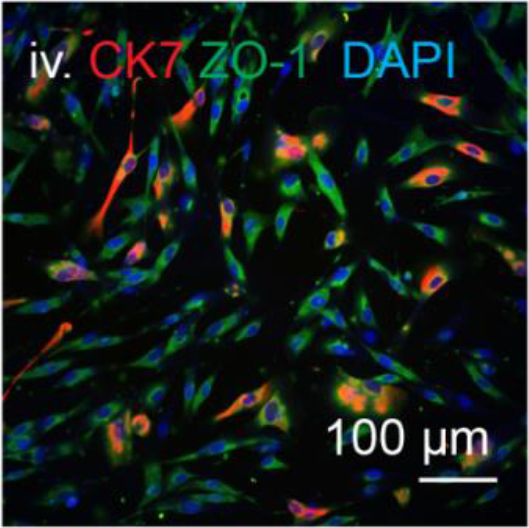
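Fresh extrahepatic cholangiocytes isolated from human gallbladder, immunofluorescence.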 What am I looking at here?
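Many cells are elongated or spindle-shaped with green cytoplasm, while a subset are broader and polygonal with strong red cytoplasm surrounding the nucleus. Some red cells extend long thin processes. Red and green cells are intermingled across the field without forming a continuous epithelial layer.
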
